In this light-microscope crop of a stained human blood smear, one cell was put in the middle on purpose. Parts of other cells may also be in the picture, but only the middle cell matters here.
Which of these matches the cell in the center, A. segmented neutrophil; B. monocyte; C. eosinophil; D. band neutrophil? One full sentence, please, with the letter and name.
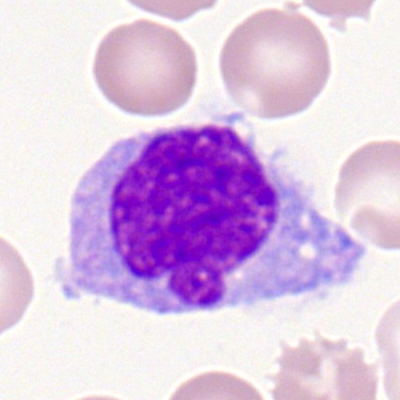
The cell in the middle is a monocyte, and that makes option B correct.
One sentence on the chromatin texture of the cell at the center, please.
Its chromatin is clumped in a coarse pattern.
